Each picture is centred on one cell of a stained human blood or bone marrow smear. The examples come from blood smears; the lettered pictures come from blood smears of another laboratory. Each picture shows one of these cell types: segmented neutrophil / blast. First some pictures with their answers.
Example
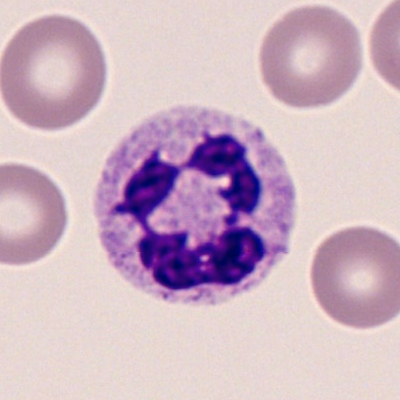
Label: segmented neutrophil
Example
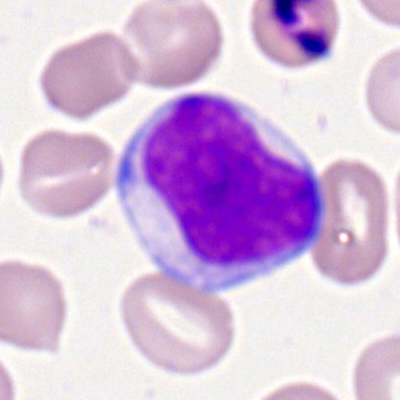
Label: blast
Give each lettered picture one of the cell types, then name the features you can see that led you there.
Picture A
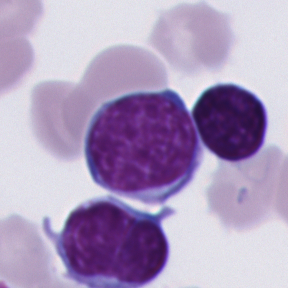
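blast. The cytoplasm is only a thin rim around the nucleus.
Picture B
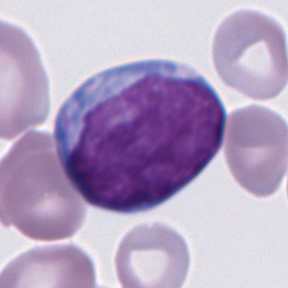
blast. The cytoplasm forms a narrow crescent along the upper-left side of the cell.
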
